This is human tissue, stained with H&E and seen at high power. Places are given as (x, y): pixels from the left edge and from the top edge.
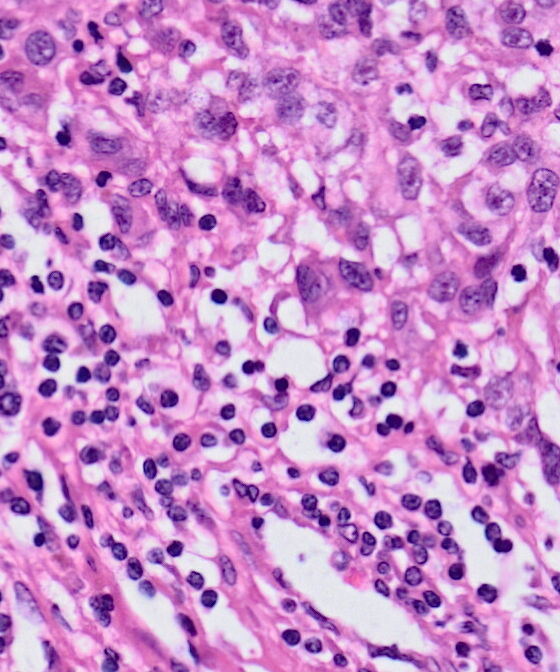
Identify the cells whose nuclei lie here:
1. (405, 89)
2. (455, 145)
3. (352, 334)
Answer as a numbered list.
1. lymphocyte
2. melanoma cell
3. lymphocyte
